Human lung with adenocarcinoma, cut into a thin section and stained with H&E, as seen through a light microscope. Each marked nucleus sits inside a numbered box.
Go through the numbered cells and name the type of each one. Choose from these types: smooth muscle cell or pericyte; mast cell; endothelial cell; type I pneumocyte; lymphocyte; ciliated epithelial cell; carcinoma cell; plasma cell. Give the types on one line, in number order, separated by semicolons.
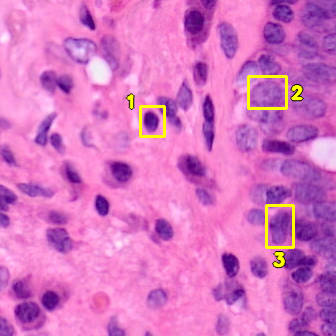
lymphocyte; ciliated epithelial cell; ciliated epithelial cell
